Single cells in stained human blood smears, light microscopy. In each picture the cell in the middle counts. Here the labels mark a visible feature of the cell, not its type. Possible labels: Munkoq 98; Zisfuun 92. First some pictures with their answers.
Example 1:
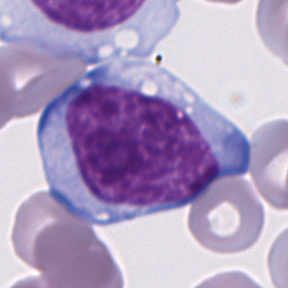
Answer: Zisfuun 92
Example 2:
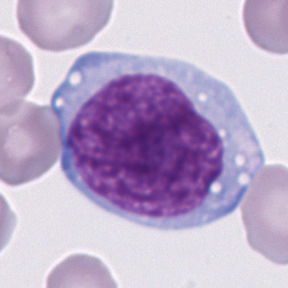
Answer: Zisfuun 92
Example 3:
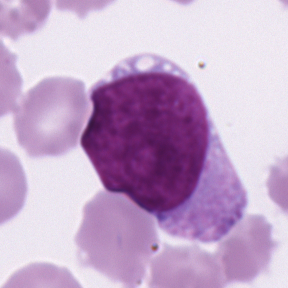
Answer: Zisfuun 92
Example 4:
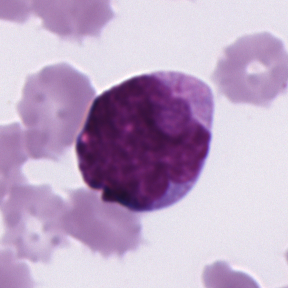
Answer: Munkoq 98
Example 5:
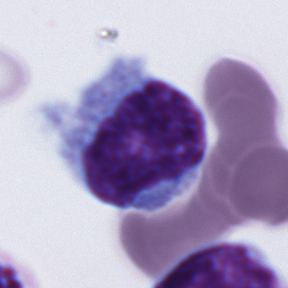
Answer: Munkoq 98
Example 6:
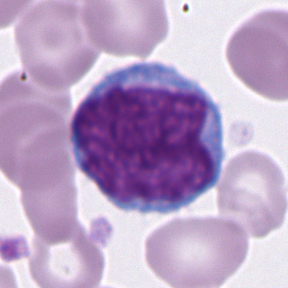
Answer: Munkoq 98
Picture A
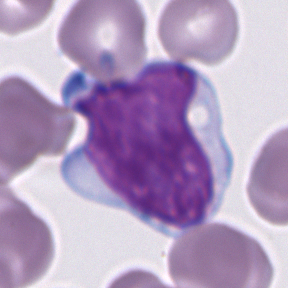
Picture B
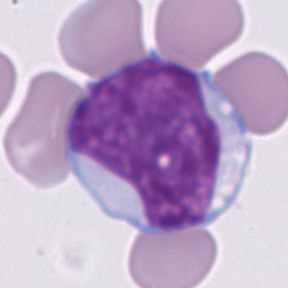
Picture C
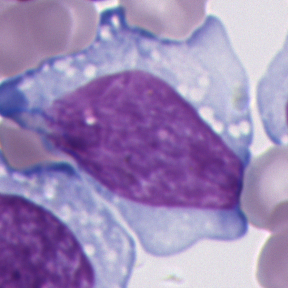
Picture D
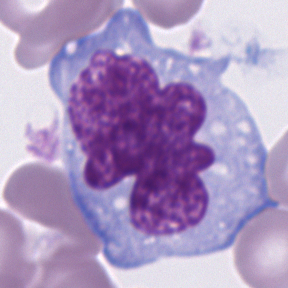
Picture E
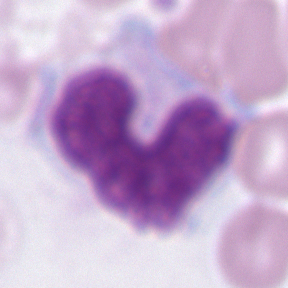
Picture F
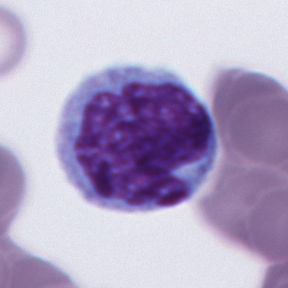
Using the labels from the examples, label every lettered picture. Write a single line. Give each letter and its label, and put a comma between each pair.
A Zisfuun 92, B Zisfuun 92, C Zisfuun 92, D Zisfuun 92, E Munkoq 98, F Munkoq 98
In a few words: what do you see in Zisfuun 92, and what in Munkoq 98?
Zisfuun 92, vacuoles present; Munkoq 98, no vacuoles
